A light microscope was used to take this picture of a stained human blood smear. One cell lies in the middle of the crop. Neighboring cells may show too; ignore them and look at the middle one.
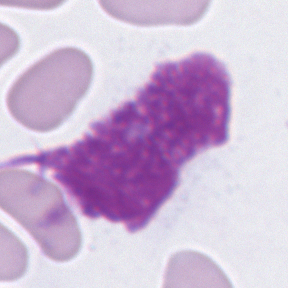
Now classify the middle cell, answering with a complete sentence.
The middle of this crop is occupied by a smudge cell.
